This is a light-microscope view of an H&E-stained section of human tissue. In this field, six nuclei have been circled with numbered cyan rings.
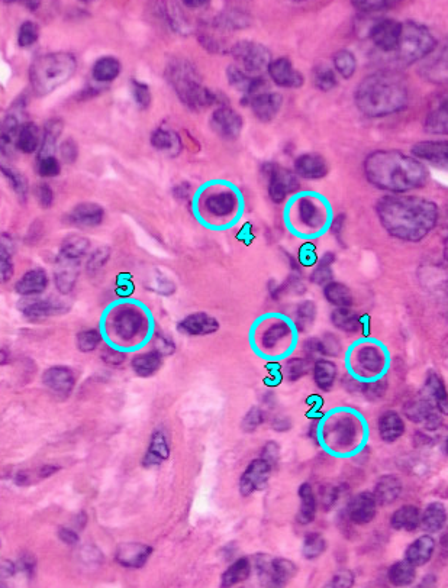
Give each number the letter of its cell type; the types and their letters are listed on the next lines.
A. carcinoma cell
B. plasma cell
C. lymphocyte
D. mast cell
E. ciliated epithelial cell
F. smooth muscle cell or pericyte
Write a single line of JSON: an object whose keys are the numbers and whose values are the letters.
{"1": "C", "2": "B", "3": "C", "4": "B", "5": "B", "6": "C"}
